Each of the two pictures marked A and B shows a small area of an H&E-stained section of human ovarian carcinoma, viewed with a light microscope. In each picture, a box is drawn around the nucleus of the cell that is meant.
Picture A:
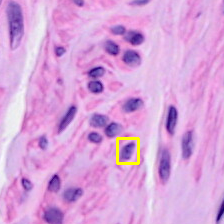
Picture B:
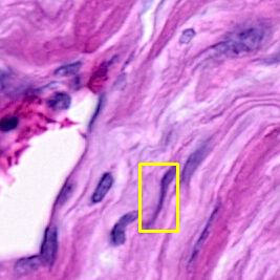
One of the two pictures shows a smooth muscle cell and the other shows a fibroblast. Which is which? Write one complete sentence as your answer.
In picture A the cell is a smooth muscle cell; in picture B, a fibroblast.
